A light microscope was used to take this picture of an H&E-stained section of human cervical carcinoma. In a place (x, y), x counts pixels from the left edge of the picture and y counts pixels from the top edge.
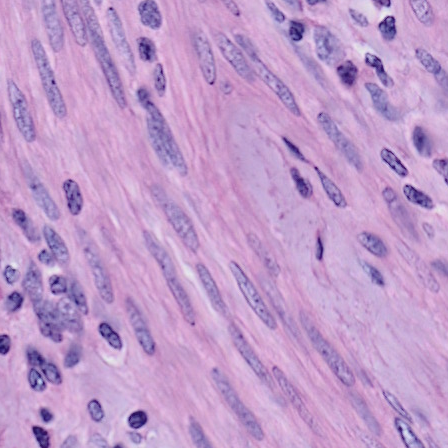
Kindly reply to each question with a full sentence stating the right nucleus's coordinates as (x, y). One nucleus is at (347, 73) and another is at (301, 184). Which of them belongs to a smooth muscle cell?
The one belonging to a smooth muscle cell is the nucleus at (301, 184), not the other.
